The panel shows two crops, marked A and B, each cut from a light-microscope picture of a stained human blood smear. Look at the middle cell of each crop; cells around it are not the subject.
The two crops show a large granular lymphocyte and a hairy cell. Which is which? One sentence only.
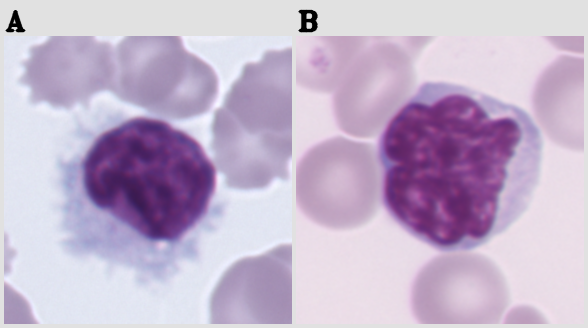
Crop A features a hairy cell, while crop B features a large granular lymphocyte.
